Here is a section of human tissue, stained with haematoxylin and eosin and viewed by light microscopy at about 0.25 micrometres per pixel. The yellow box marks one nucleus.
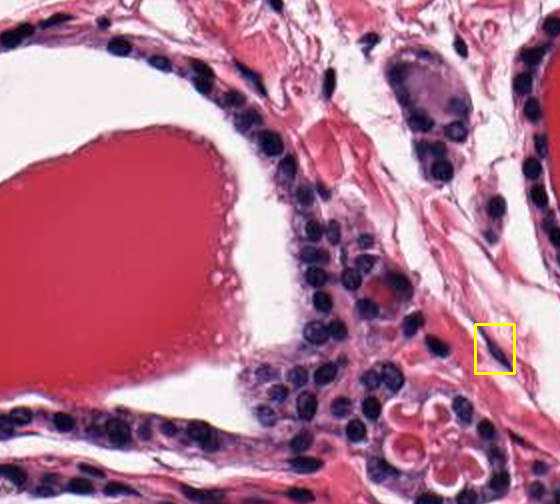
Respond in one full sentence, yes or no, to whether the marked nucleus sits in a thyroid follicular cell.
No, rather than to a thyroid follicular cell, the marked nucleus belongs to a supporting cell.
